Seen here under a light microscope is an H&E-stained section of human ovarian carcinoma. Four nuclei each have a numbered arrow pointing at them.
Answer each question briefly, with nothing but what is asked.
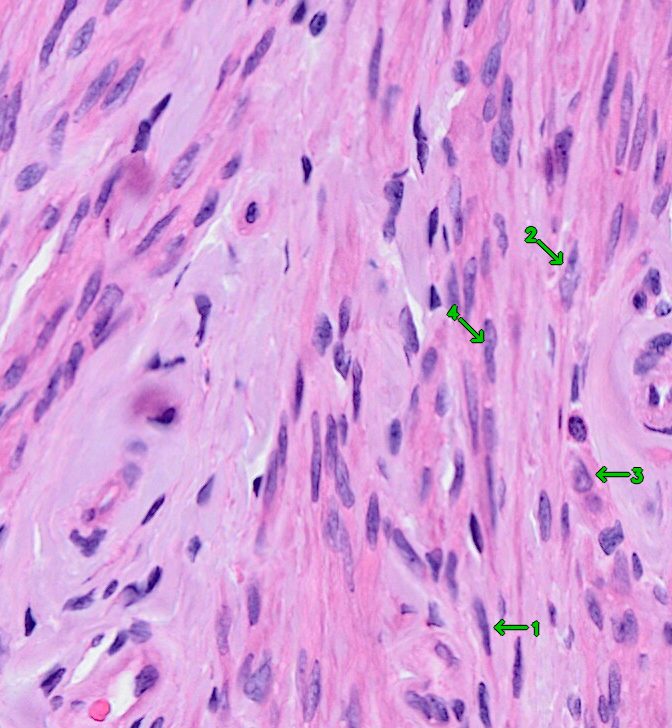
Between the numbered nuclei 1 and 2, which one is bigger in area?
2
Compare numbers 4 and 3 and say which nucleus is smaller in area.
3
